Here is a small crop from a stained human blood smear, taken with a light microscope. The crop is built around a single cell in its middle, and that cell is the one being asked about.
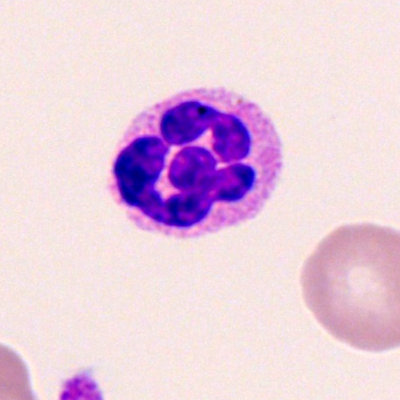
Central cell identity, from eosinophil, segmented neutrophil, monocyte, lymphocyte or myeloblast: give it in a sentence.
Looking at the middle of the crop, the cell there is a segmented neutrophil.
